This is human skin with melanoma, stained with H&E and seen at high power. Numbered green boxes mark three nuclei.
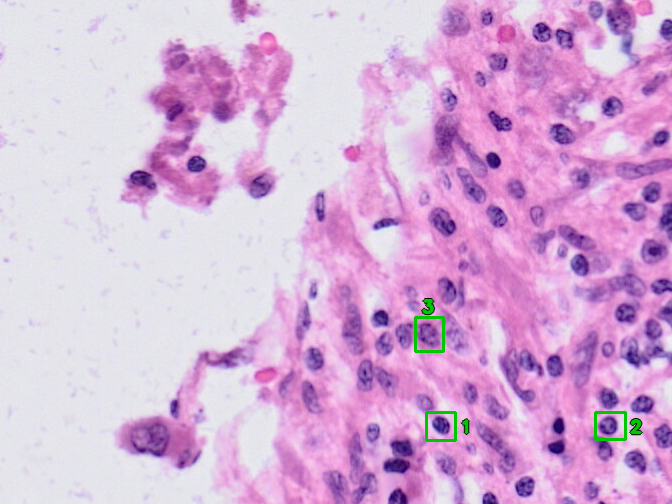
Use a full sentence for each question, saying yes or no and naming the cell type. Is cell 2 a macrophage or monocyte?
No, number 2 corresponds to a lymphocyte, not a macrophage or monocyte.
